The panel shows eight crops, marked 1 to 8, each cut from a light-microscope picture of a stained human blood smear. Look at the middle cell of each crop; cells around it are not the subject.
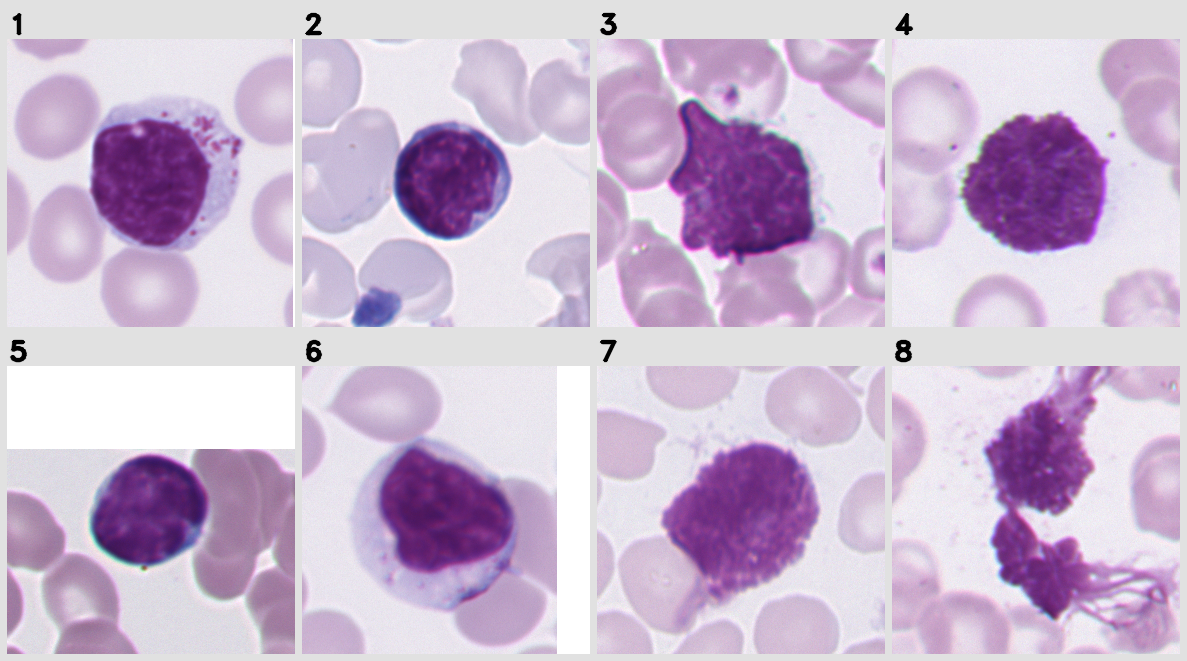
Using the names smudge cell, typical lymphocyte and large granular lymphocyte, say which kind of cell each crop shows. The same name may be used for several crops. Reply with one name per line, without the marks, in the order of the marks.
large granular lymphocyte
typical lymphocyte
smudge cell
smudge cell
typical lymphocyte
large granular lymphocyte
smudge cell
smudge cell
